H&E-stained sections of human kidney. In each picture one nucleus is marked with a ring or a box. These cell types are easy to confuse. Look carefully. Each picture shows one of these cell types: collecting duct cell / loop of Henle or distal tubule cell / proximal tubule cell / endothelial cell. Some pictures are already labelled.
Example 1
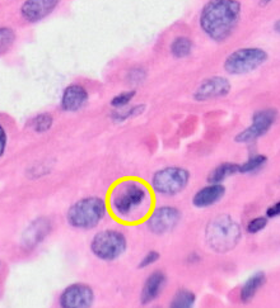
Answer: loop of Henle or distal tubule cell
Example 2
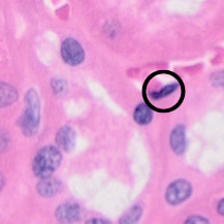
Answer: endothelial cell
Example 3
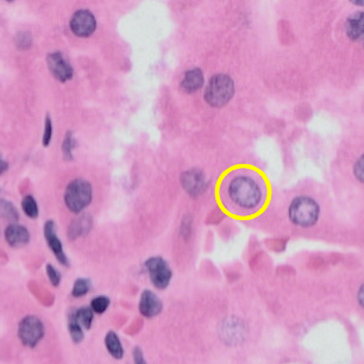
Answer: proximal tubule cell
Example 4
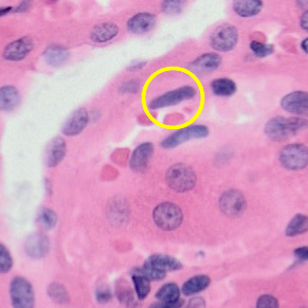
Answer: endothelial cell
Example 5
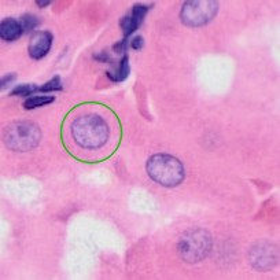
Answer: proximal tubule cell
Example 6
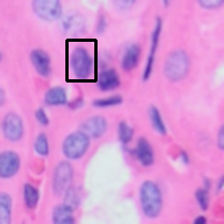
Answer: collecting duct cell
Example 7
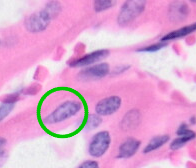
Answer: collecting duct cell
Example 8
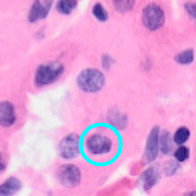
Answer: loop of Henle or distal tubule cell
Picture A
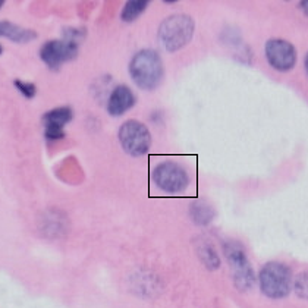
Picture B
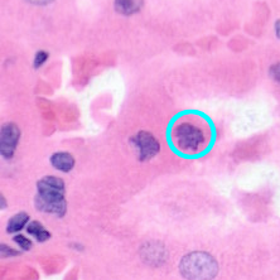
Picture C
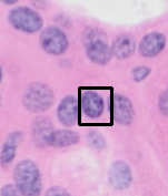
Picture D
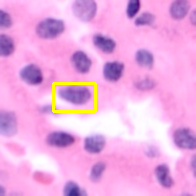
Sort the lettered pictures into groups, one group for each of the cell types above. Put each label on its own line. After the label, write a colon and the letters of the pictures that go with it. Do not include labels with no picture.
collecting duct cell: A, C
loop of Henle or distal tubule cell: D
proximal tubule cell: B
